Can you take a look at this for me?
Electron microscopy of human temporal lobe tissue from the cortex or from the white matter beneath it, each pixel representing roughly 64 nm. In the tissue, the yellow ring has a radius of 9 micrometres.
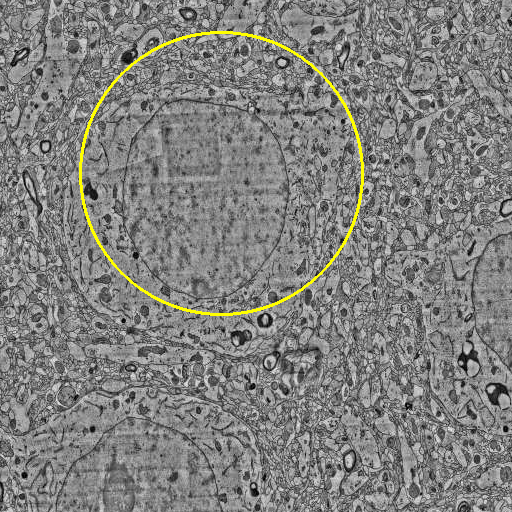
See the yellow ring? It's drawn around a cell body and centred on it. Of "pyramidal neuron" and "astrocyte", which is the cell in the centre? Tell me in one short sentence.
The one in the centre is a pyramidal neuron.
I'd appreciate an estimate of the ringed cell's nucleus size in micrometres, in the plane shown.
The nucleus appears roughly 13 by 11 micrometres in this plane.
